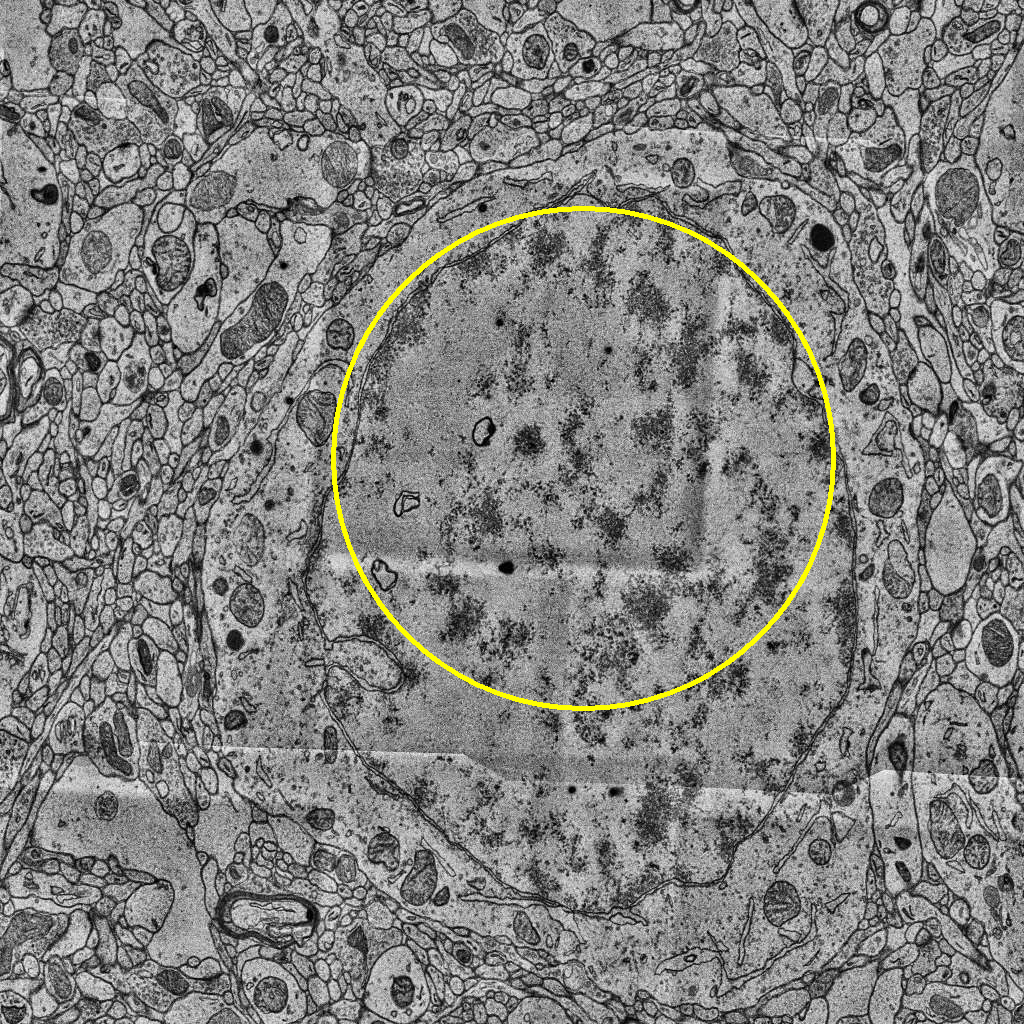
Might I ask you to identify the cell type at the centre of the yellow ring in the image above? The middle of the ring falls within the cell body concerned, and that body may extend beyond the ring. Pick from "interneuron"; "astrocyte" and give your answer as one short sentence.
The centre of the ring falls on an interneuron.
